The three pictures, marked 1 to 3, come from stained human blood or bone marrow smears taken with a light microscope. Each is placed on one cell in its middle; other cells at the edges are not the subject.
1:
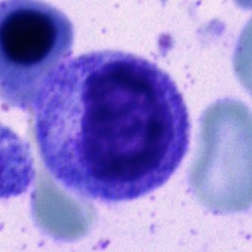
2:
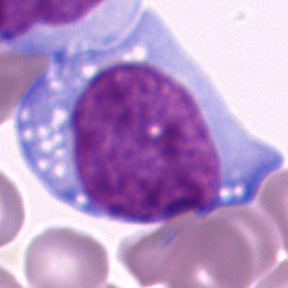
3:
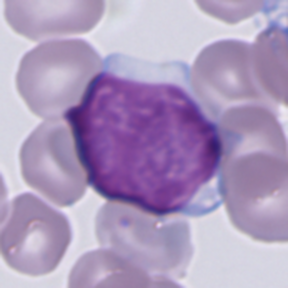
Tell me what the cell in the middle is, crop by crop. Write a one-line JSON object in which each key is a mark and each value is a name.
{"1": "promyelocyte", "2": "blast", "3": "blast"}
